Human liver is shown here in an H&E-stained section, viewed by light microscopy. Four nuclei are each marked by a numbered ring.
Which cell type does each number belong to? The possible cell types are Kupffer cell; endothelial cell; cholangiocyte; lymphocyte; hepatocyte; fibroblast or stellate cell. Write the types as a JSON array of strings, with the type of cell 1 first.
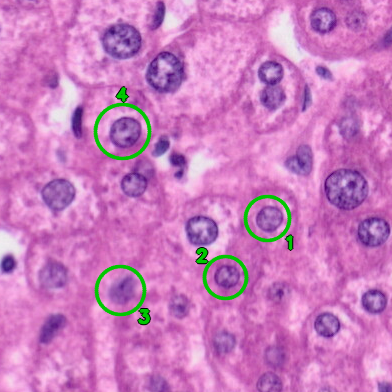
["hepatocyte", "hepatocyte", "endothelial cell", "hepatocyte"]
